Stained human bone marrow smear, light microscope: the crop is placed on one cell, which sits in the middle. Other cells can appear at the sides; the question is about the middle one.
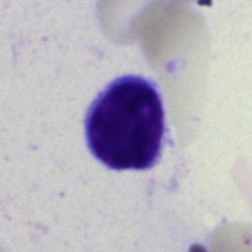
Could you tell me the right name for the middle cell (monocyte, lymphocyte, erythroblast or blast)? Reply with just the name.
lymphocyte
